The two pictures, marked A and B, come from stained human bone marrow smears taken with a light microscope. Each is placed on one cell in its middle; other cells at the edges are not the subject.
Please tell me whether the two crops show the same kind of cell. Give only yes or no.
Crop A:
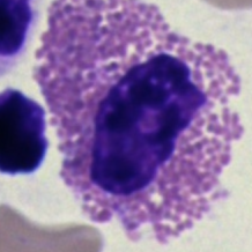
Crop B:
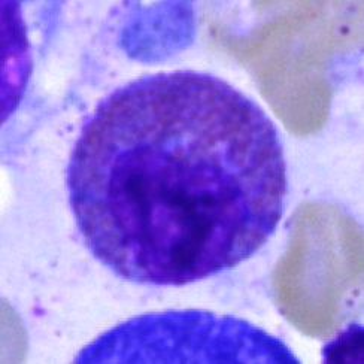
yes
